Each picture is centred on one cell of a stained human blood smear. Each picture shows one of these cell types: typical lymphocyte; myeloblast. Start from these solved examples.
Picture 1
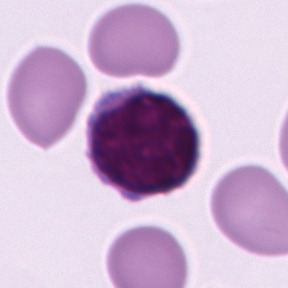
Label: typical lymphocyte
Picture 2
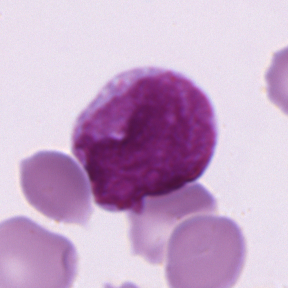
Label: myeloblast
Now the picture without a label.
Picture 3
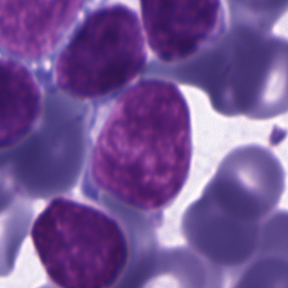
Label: myeloblast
